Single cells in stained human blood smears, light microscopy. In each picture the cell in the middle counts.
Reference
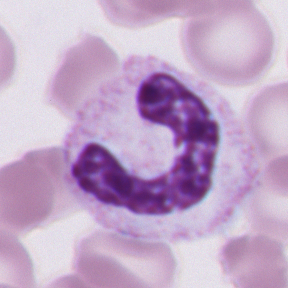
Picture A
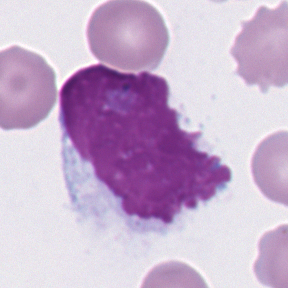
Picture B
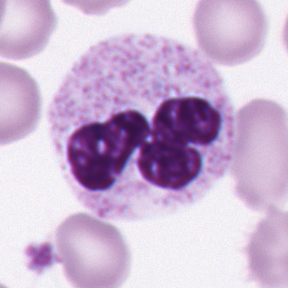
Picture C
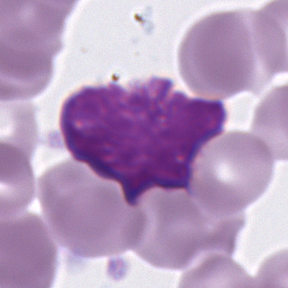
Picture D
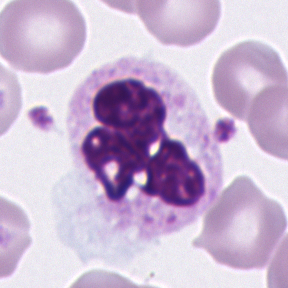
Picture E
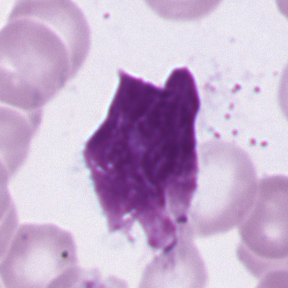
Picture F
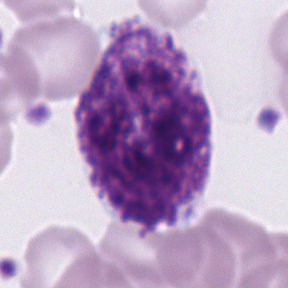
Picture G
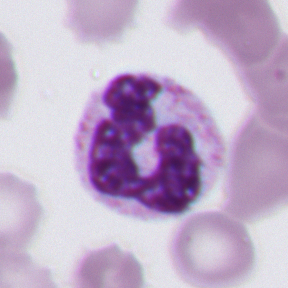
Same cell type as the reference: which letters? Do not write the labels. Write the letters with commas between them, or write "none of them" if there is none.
B, D, G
